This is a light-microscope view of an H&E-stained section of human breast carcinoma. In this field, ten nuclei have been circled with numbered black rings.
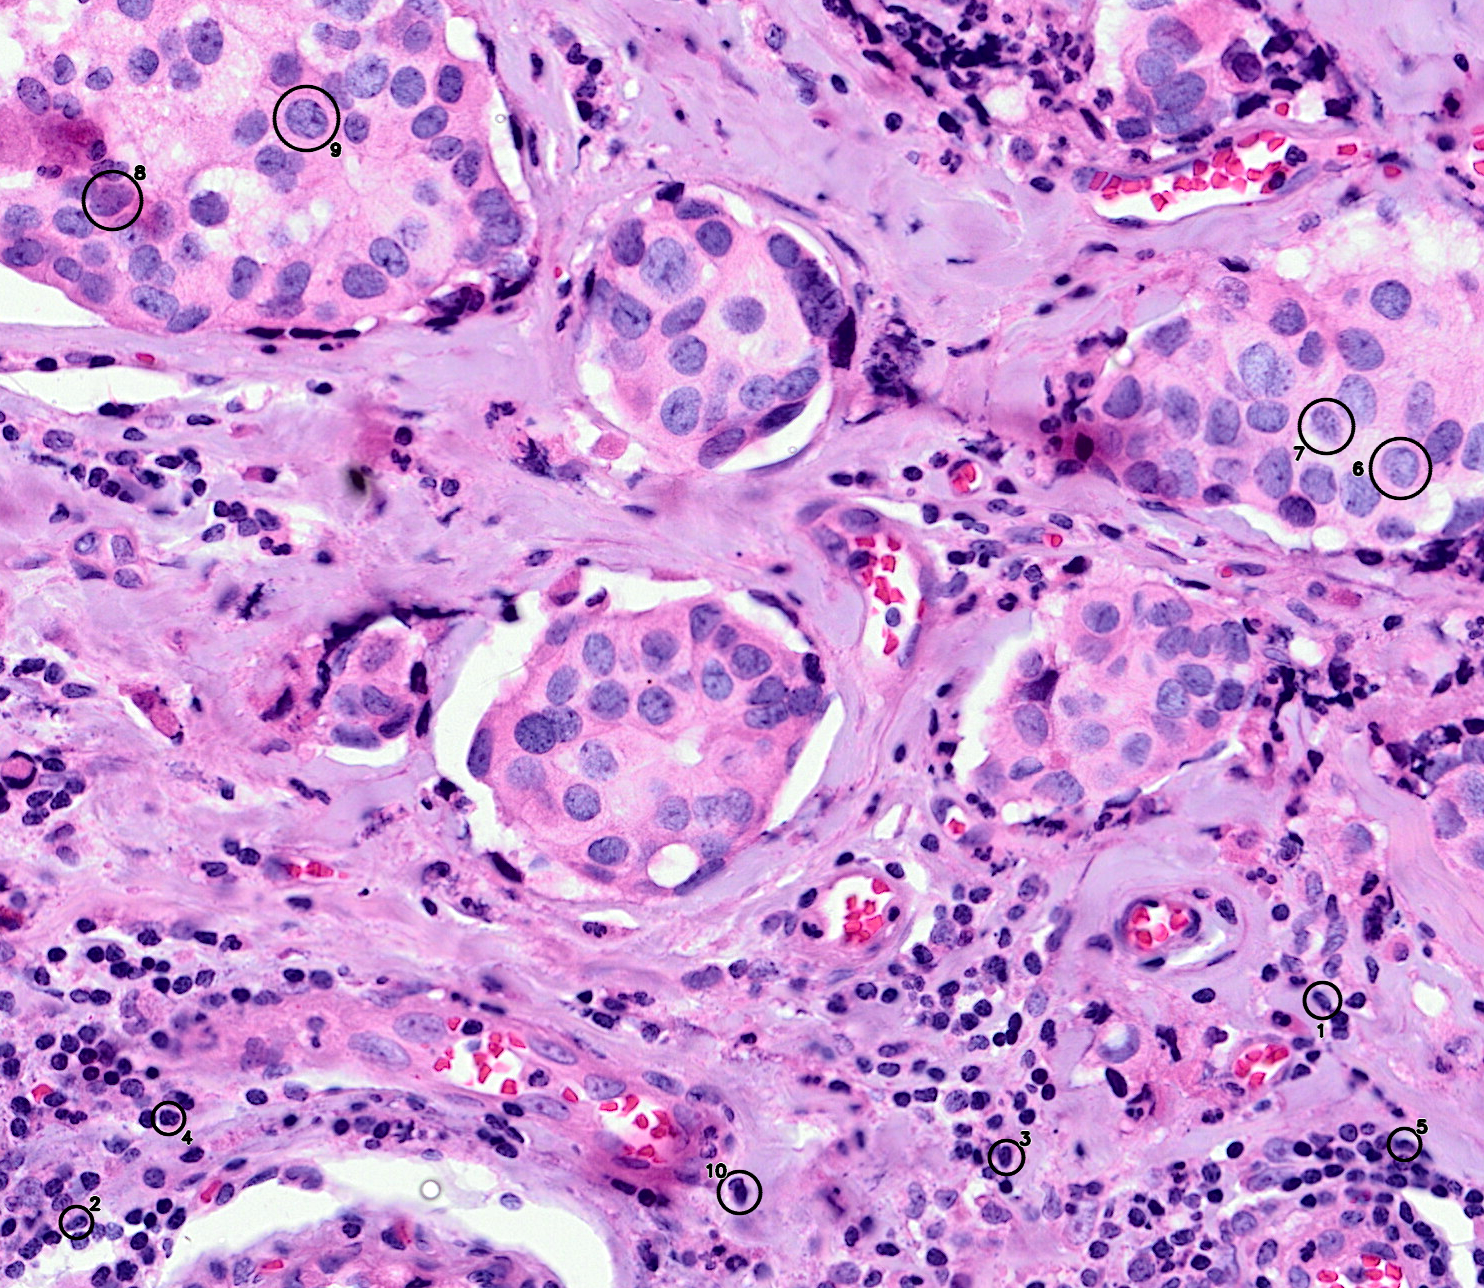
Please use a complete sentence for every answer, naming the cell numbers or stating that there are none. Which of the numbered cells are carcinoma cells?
The cells 6, 7, 8 and 9 in this section are carcinoma cells.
